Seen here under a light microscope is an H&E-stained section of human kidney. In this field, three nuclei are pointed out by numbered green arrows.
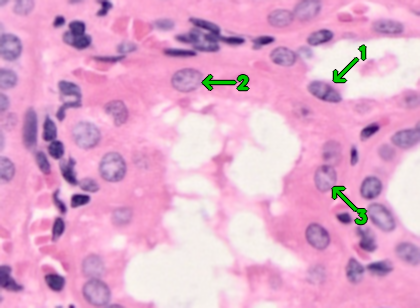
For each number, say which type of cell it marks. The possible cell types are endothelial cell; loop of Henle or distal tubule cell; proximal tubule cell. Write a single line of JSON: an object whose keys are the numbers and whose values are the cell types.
{"1": "loop of Henle or distal tubule cell", "2": "proximal tubule cell", "3": "proximal tubule cell"}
